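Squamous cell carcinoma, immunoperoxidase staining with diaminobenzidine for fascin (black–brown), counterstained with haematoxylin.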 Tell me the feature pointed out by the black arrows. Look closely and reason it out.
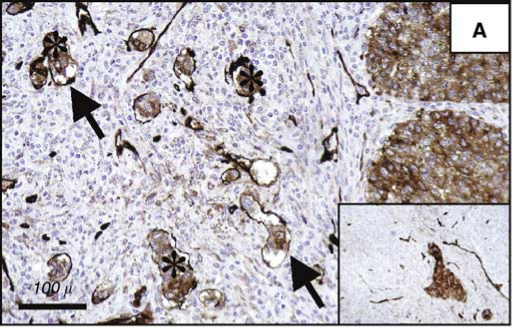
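The arrows point to small rounded spaces lined by a thin brown rim.
Conclusion: vascular channels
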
